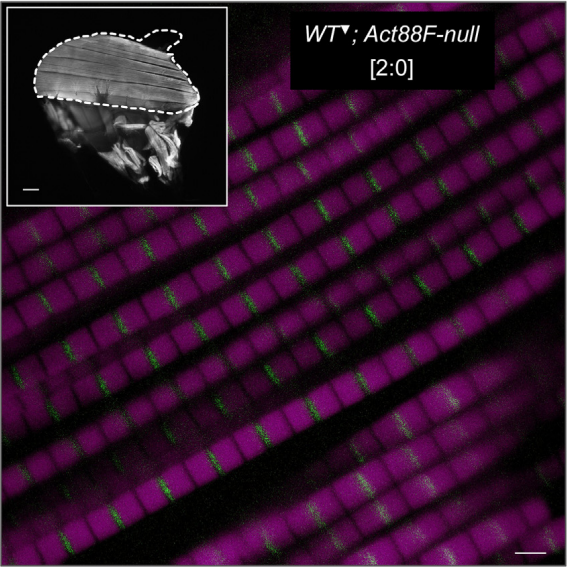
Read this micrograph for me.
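Flight muscle myofibrils run as broad, straight, parallel bands diagonally across the field. Narrow dark gaps separate adjacent myofibrils. The inset shows a hemi-thorax with its large muscle fibres running continuously along its length within a dashed outline.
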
